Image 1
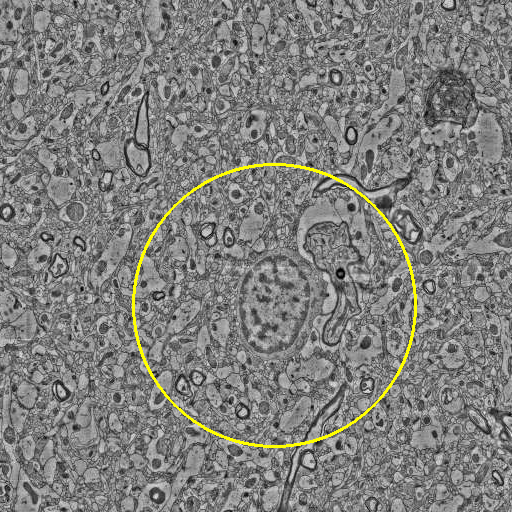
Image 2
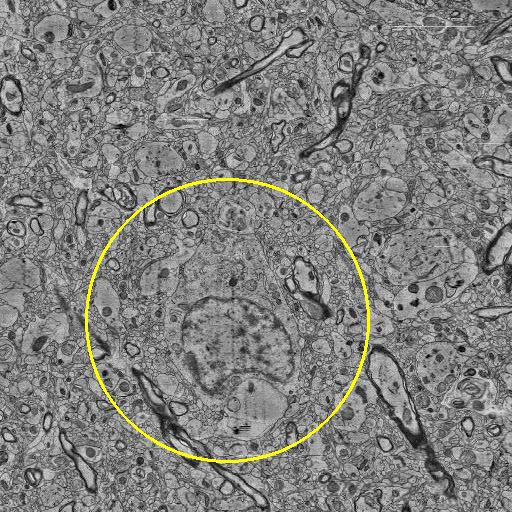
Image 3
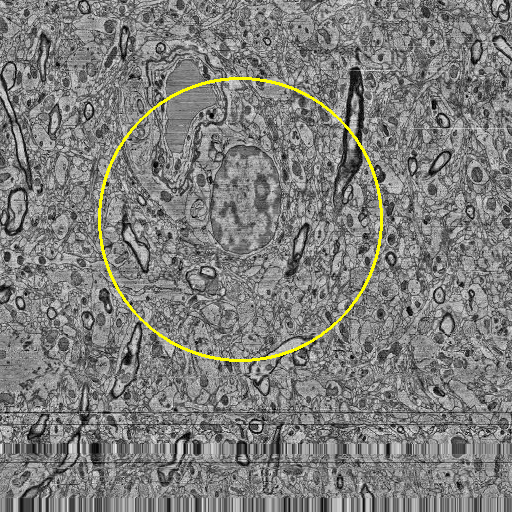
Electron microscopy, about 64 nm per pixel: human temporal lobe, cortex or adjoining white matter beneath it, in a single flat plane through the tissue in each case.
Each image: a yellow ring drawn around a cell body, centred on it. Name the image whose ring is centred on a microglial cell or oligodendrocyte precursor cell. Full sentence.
That is Image 3.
